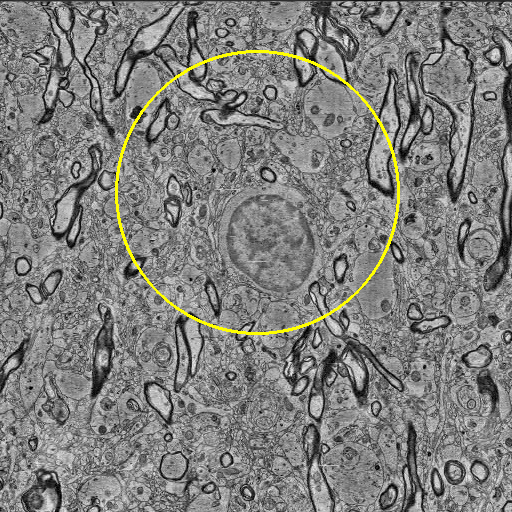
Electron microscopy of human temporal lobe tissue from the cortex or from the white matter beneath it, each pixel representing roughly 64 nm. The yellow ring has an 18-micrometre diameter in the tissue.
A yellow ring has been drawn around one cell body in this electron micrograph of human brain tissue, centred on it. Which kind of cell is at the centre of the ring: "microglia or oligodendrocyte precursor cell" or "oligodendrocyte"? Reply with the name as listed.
oligodendrocyte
